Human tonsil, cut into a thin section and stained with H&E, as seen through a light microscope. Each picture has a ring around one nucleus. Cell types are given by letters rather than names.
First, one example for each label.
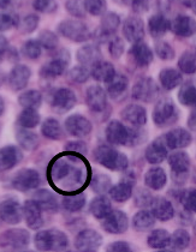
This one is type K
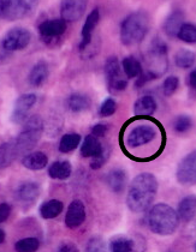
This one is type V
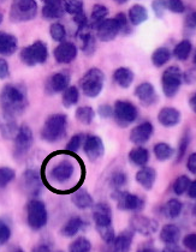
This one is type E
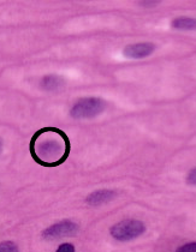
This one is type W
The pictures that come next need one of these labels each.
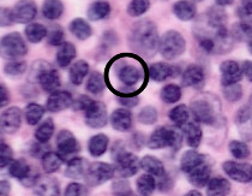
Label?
type K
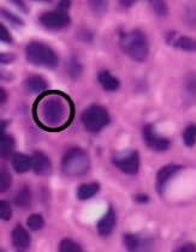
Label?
type W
